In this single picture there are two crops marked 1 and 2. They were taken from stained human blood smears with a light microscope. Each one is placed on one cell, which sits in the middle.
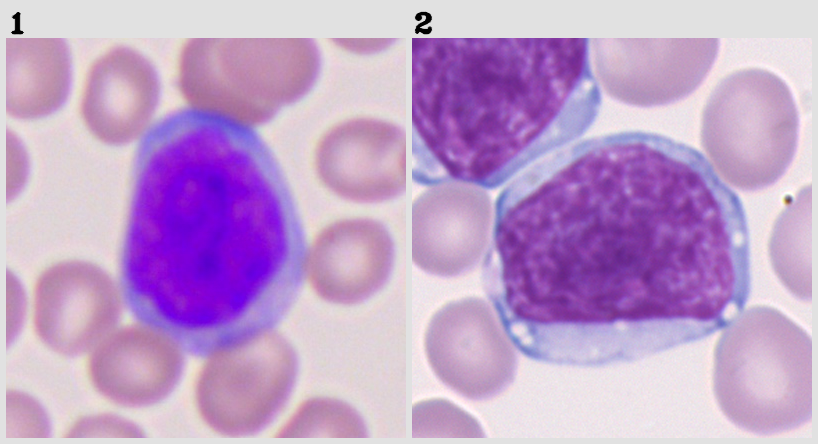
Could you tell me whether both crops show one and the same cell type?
yes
